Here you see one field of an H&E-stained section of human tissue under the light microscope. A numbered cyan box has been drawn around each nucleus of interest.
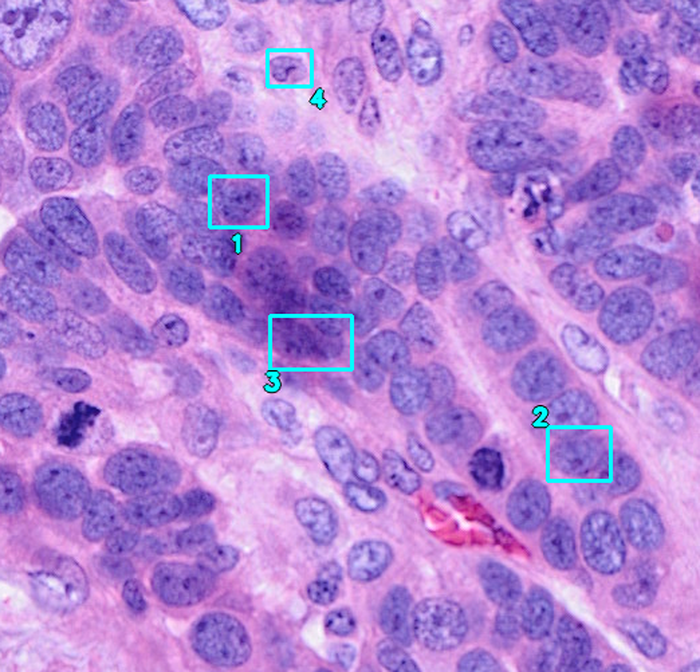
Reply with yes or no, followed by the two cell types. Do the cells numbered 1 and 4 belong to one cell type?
No, cell 1 is a carcinoma cell and cell 4 is a macrophage or monocyte.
